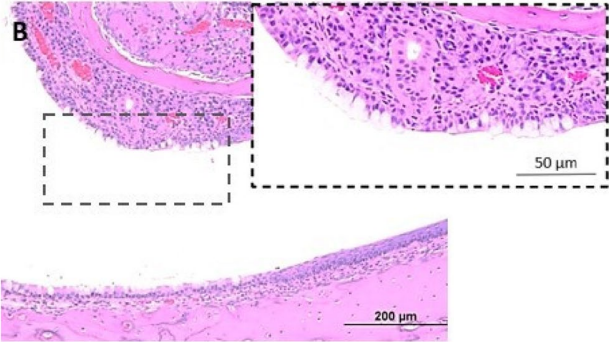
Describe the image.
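This is normal nasal mucosa lining a pink plate of bone or cartilage. The surface carries a continuous layer of columnar epithelial cells with oval purple nuclei and a pale fringe at the free edge, resembling cilia. No dense clusters of inflammatory cells are seen. The lower view shows the thin mucosa running evenly along the supporting pink tissue.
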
